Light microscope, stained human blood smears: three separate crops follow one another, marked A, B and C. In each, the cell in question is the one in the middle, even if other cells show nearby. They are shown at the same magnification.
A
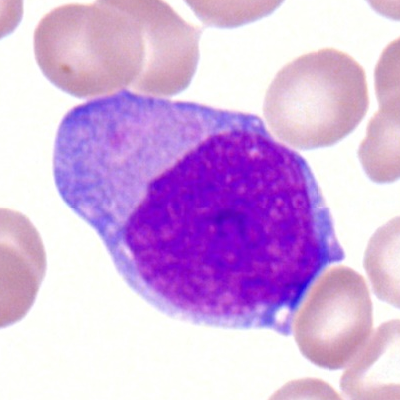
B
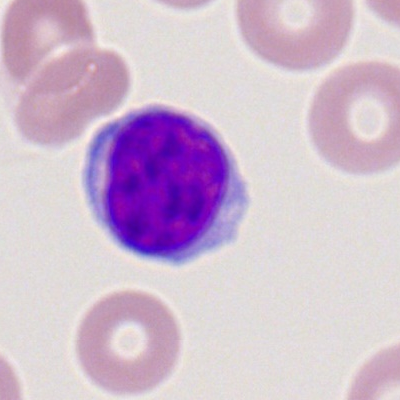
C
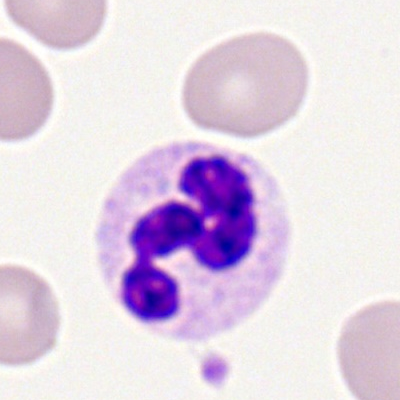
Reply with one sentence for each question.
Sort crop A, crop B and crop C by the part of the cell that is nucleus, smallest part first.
They run C, A, B, the least filled first.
